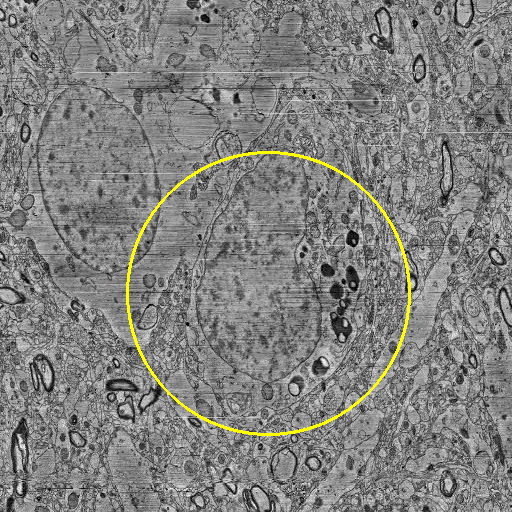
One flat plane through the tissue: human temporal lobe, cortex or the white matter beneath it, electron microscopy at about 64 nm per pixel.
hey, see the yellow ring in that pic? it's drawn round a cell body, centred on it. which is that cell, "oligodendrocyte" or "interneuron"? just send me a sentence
The cell in the ring is an interneuron.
